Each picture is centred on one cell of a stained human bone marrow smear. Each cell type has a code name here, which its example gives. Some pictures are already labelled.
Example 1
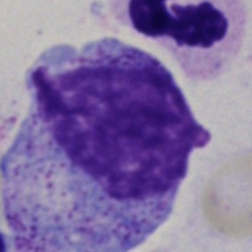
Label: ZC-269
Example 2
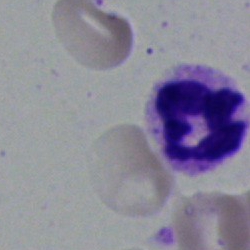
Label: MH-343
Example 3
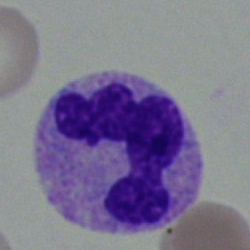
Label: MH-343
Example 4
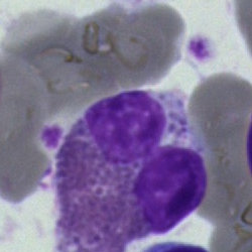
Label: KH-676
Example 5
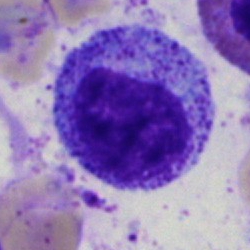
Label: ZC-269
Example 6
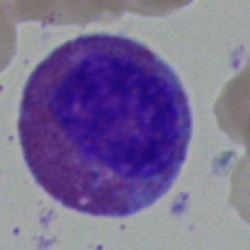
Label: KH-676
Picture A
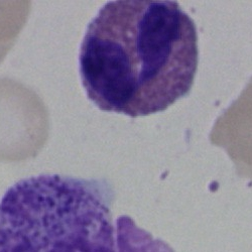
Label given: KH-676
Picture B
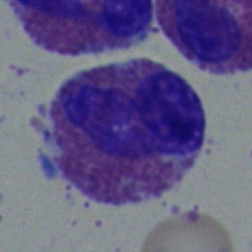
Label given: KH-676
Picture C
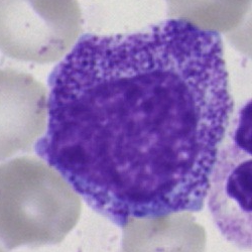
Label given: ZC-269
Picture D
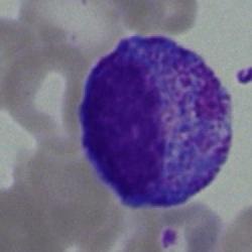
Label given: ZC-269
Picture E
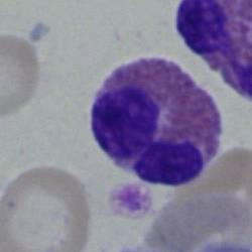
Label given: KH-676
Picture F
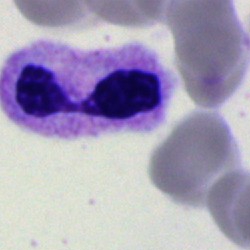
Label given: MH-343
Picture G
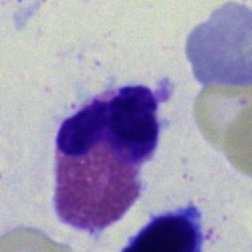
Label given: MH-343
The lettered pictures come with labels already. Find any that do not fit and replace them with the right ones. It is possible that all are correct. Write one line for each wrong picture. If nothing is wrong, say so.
G should be KH-676, not MH-343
